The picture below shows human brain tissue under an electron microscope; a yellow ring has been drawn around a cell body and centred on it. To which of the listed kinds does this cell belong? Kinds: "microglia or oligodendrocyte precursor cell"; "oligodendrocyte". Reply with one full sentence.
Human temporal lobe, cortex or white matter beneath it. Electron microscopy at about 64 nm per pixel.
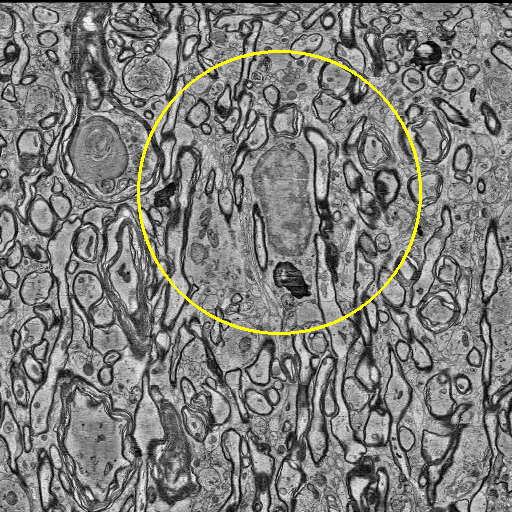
It is an oligodendrocyte that the yellow ring in the picture is centred on.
